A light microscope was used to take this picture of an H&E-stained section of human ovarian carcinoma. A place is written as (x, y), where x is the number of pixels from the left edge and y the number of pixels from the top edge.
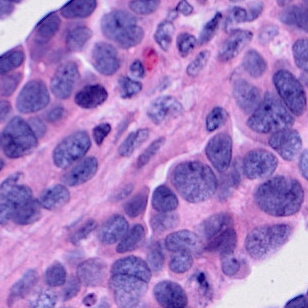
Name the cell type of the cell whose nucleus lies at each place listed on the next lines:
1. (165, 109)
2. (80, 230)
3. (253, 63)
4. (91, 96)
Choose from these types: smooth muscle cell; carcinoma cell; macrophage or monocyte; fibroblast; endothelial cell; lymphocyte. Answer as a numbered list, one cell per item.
1. fibroblast
2. fibroblast
3. carcinoma cell
4. carcinoma cell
